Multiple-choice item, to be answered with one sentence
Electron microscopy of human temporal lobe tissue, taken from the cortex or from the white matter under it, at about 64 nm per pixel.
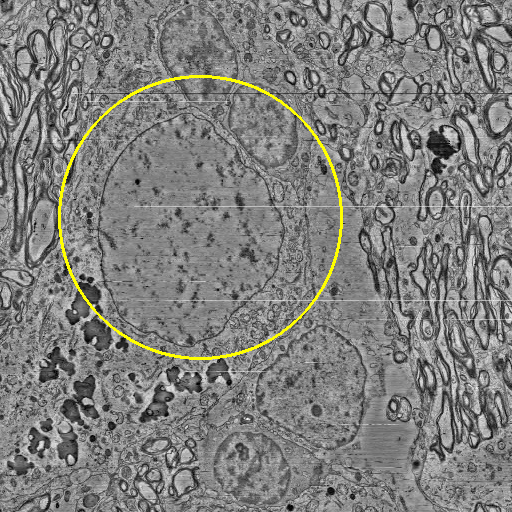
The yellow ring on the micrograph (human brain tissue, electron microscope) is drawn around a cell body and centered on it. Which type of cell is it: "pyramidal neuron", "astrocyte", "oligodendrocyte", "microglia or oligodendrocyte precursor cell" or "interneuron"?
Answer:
The ring is centered on a pyramidal neuron.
